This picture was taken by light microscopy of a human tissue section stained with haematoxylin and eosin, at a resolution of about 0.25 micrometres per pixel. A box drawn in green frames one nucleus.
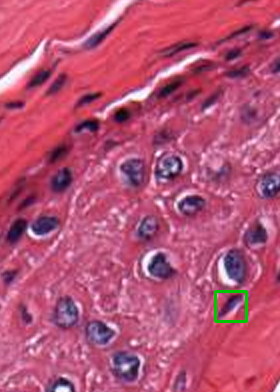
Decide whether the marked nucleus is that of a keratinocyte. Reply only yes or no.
yes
